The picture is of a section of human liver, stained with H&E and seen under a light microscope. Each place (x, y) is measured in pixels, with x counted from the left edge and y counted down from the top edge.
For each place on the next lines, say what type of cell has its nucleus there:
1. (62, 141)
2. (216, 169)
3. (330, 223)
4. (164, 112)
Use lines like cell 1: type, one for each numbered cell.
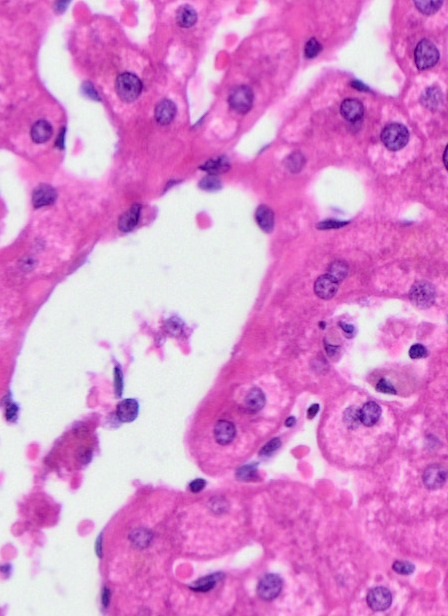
cell 1: fibroblast or stellate cell
cell 2: fibroblast or stellate cell
cell 3: fibroblast or stellate cell
cell 4: hepatocyte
